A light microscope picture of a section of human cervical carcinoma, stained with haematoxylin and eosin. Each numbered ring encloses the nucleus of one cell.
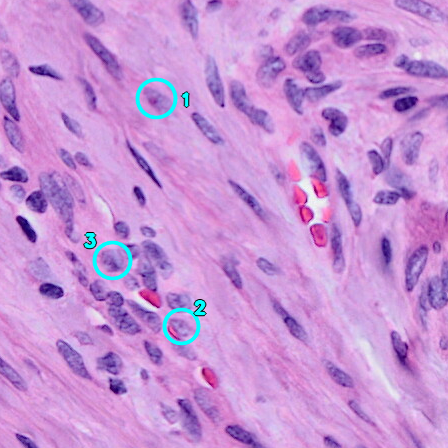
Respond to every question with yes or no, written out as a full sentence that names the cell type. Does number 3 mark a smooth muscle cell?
No, the cell carrying number 3 is an endothelial cell rather than a smooth muscle cell.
